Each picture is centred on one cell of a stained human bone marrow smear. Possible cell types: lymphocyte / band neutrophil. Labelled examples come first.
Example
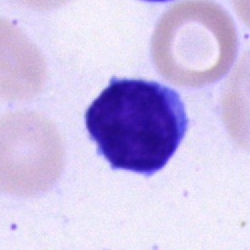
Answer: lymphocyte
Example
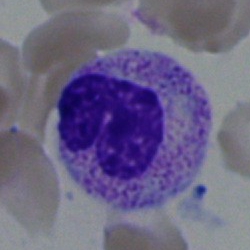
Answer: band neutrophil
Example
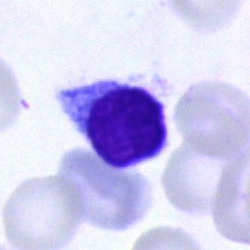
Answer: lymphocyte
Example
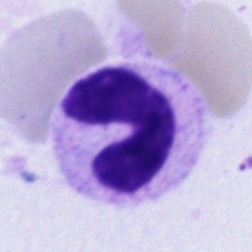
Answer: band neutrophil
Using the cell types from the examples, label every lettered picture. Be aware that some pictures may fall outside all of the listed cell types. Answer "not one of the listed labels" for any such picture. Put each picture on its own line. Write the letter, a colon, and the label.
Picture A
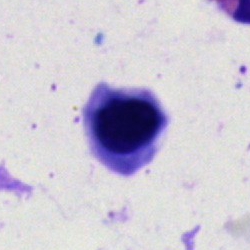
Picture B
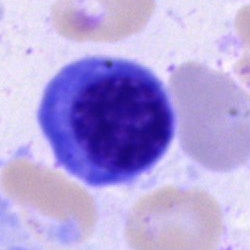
A: not one of the listed labels
B: not one of the listed labels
